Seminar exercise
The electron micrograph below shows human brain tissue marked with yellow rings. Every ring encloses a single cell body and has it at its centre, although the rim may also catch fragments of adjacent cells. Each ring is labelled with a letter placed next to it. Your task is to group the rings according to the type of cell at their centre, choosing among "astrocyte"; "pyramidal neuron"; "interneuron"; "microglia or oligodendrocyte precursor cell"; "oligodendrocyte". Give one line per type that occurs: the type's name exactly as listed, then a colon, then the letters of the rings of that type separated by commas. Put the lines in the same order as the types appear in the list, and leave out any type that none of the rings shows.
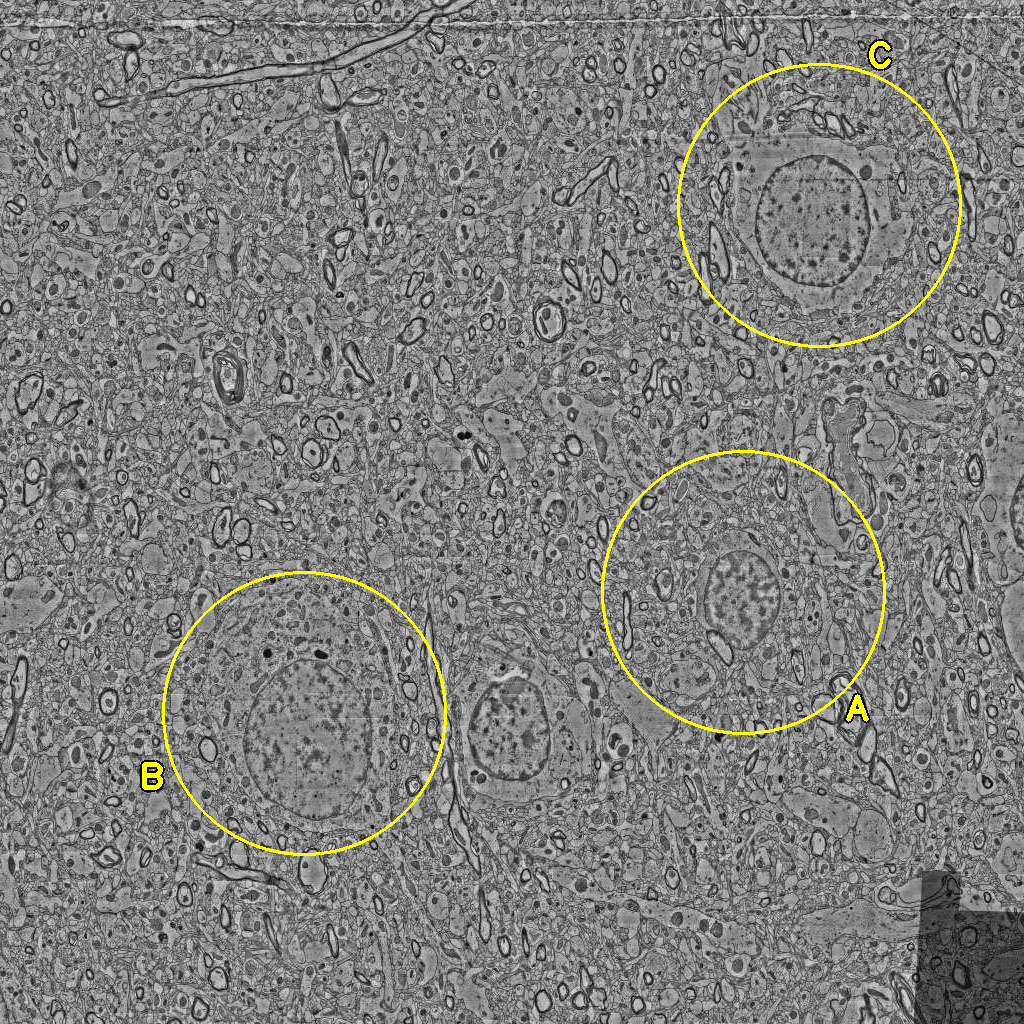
astrocyte: C
interneuron: B
oligodendrocyte: A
